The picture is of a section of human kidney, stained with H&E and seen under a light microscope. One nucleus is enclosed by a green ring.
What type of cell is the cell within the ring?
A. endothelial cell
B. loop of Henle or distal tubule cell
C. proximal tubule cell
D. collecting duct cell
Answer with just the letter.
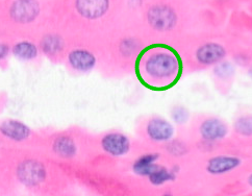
B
